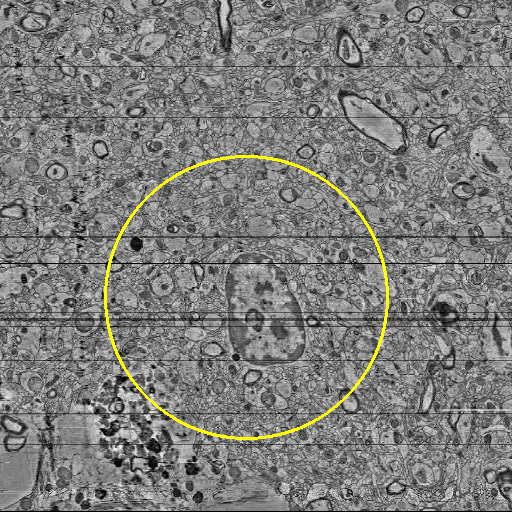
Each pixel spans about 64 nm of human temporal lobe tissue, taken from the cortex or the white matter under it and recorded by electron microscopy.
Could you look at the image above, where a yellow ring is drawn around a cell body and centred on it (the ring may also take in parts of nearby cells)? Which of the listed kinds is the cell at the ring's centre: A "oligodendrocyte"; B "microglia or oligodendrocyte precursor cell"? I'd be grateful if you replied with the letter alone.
B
